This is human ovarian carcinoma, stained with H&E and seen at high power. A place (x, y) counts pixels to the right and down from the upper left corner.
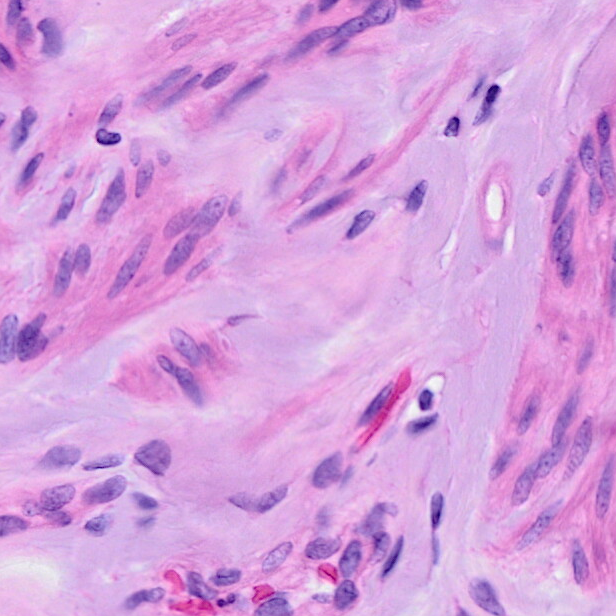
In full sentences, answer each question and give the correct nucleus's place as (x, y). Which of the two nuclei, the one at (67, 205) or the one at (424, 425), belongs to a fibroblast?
Among the two nuclei, the one lying at (424, 425) is part of a fibroblast.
